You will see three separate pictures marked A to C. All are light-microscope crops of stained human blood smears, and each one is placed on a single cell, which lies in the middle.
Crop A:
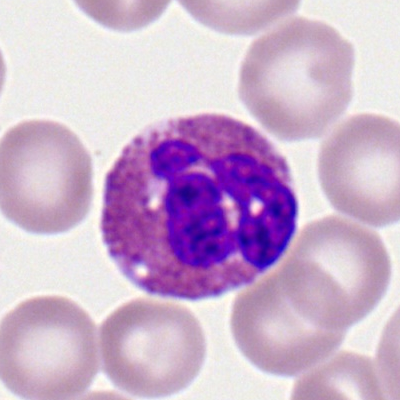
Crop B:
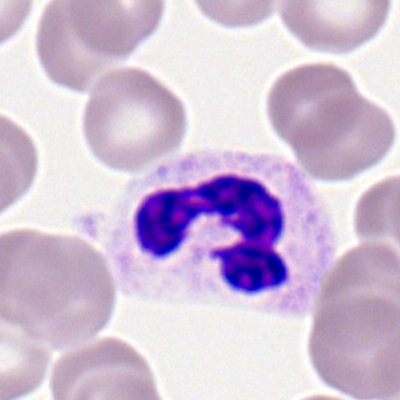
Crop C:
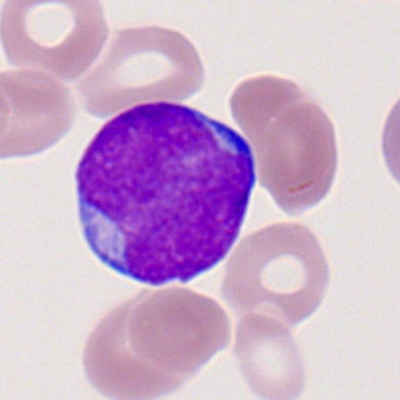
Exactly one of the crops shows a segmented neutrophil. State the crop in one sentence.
The crop bearing a segmented neutrophil is crop B.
